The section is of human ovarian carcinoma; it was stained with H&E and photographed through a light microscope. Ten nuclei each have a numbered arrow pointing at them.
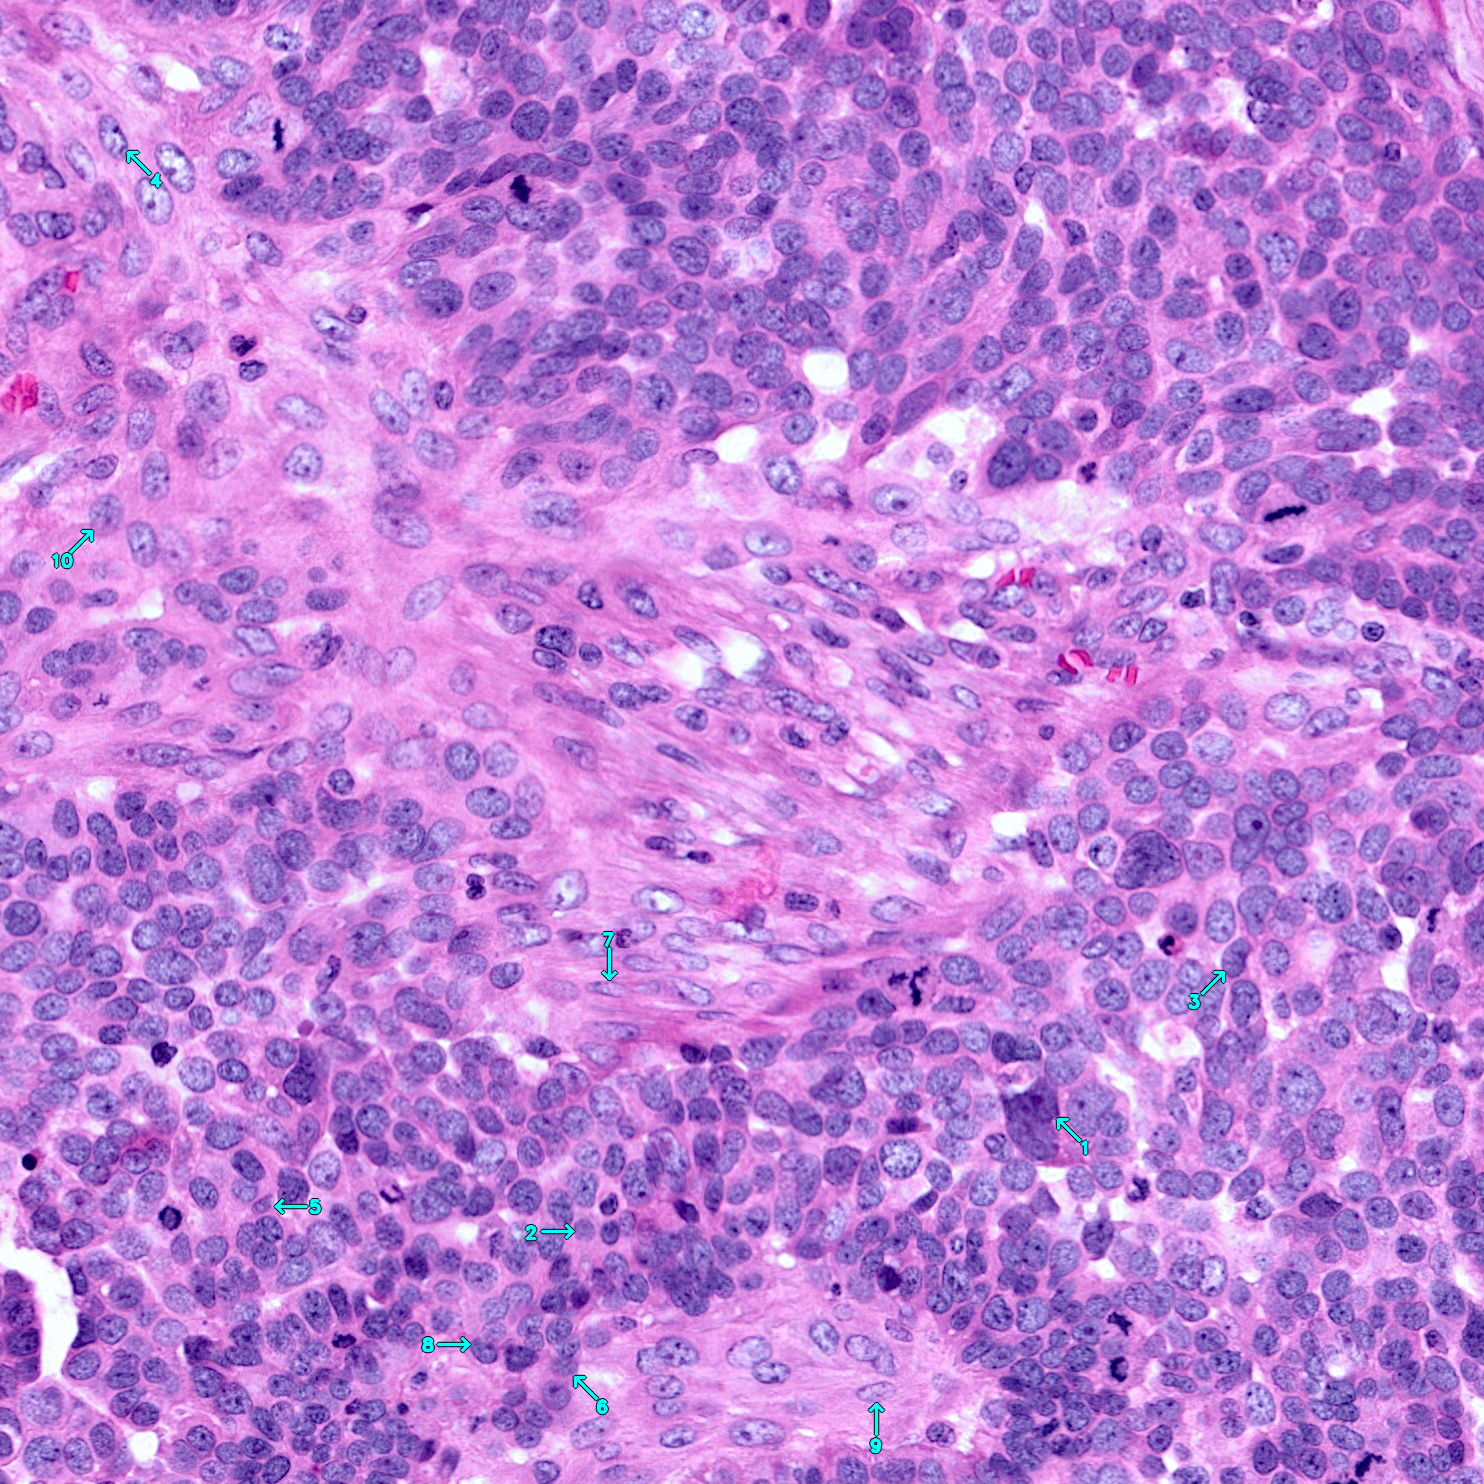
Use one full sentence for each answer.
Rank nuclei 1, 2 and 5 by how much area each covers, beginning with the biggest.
From largest to smallest, the order is 1, 2, 5.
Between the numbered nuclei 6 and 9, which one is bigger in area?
It is nucleus 9, which covers about 1.5 times the area of nucleus 6.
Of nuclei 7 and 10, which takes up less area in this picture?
The smaller nucleus is 7, and 10 covers roughly 2 times its area.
